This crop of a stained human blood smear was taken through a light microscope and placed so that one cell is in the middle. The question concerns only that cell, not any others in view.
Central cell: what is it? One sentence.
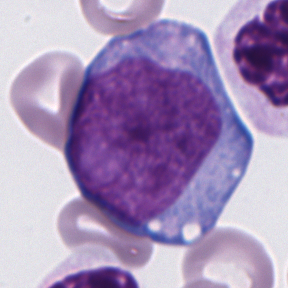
In the middle of this smear crop is a promyelocyte.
